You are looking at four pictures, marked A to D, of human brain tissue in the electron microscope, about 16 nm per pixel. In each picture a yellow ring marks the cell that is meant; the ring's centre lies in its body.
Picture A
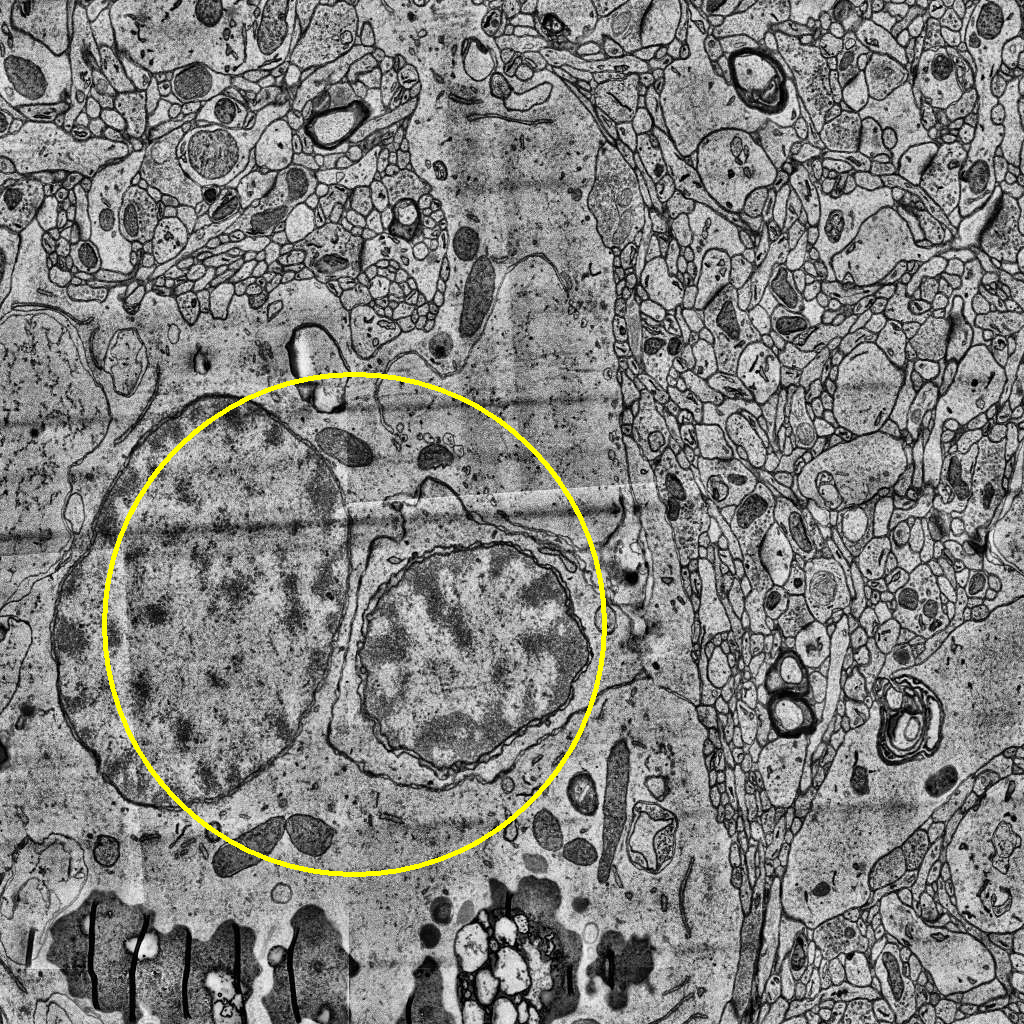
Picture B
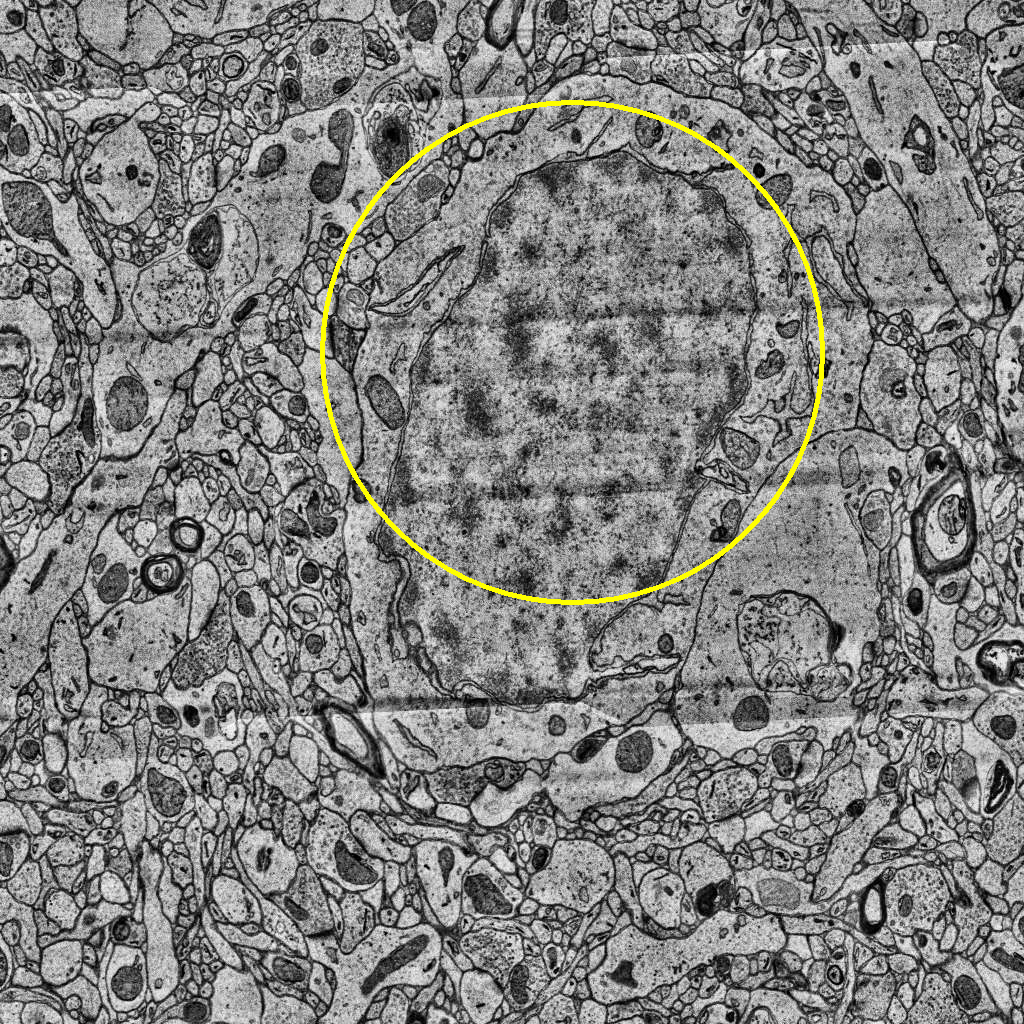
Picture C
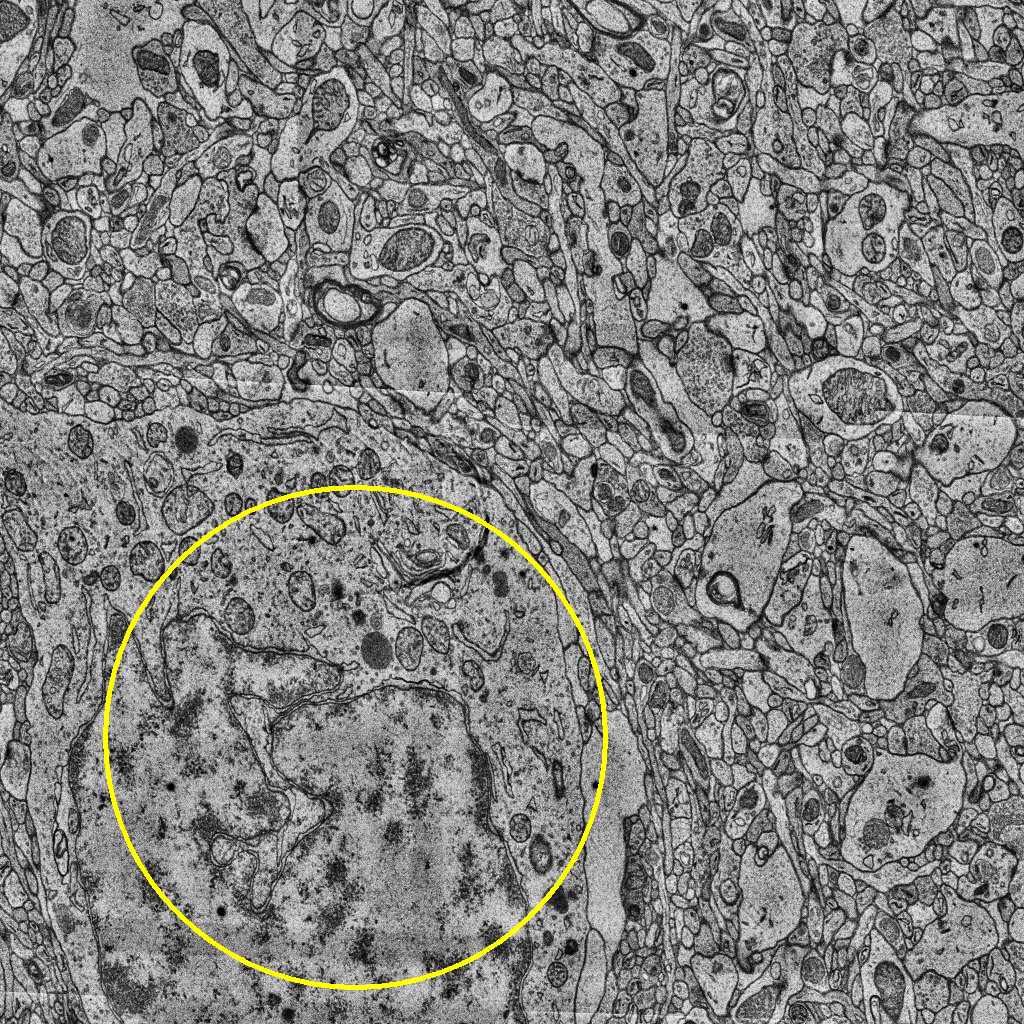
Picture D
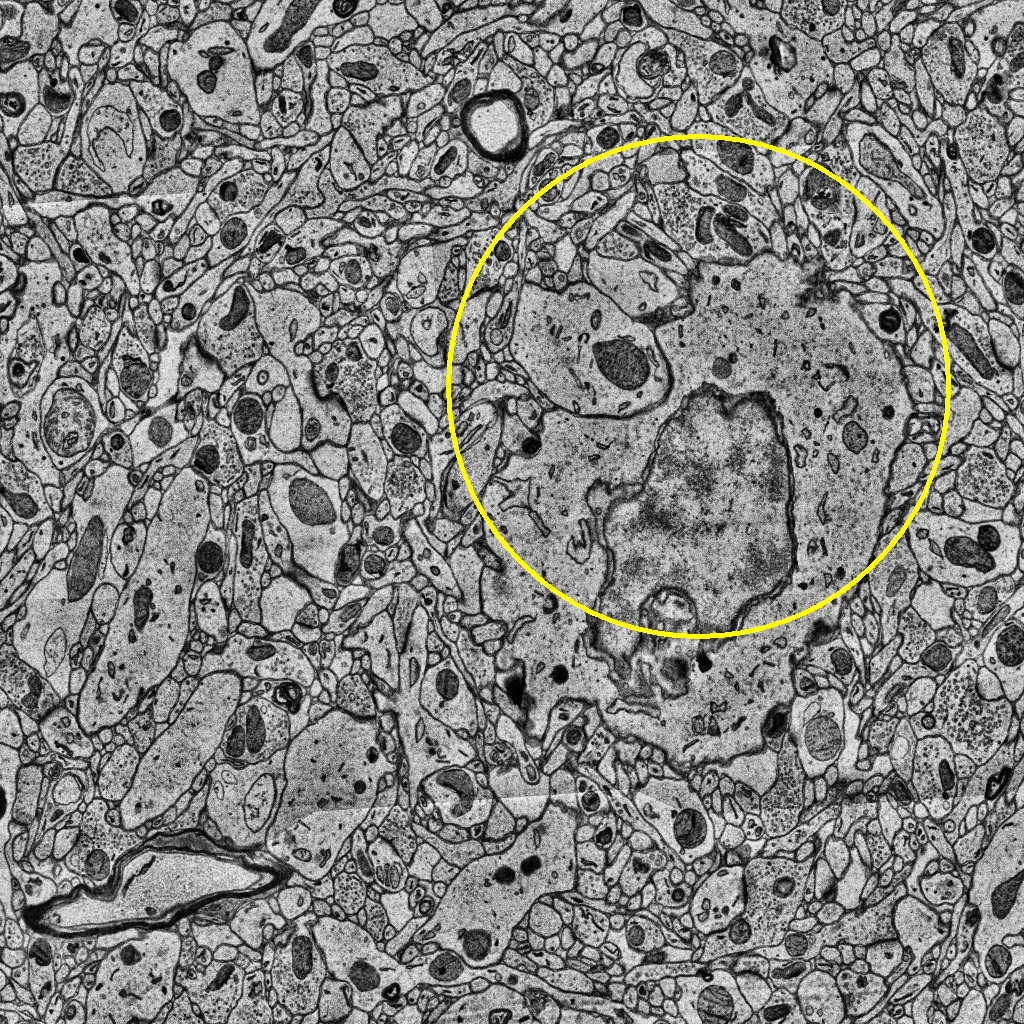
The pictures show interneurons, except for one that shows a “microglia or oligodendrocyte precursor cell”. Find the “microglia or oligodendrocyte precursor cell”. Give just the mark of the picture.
A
